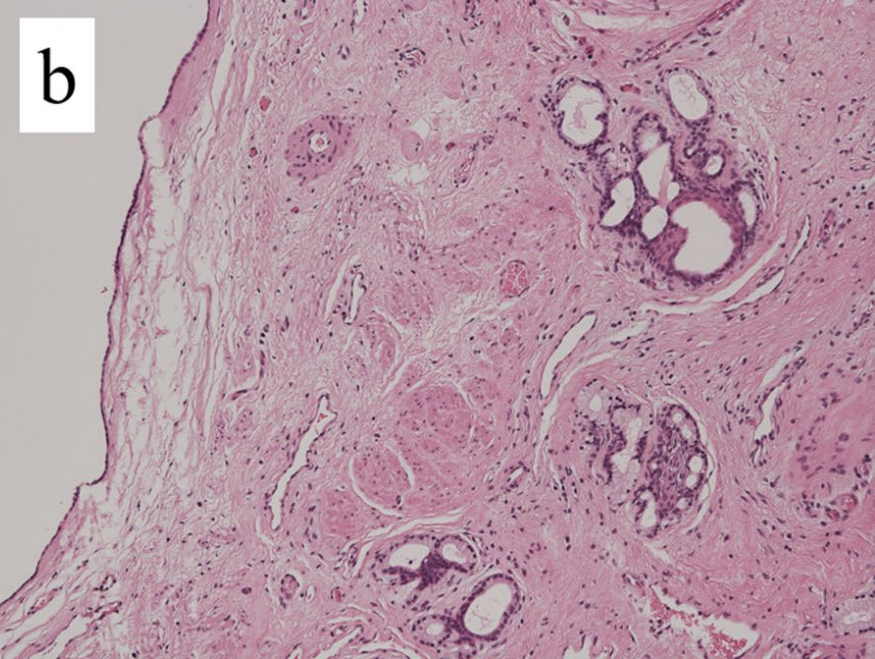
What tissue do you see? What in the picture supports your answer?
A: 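Most of the field is pale pink, loosely woven fibrillar stroma. Scattered small, elongated dark nuclei lie sparsely within the pink fibres. That points to this answer: fibrous tissue.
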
